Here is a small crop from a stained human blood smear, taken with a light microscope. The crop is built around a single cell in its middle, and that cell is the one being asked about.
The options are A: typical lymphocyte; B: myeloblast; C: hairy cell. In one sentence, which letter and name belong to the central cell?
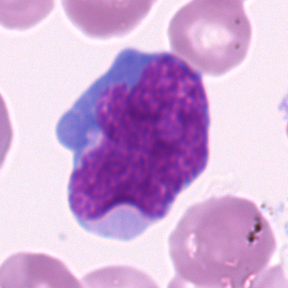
The cell centred in the crop is a myeloblast, and the correct option is thus B.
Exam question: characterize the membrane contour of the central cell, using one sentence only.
The cell membrane follows an uneven contour, either ragged or bearing projections.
